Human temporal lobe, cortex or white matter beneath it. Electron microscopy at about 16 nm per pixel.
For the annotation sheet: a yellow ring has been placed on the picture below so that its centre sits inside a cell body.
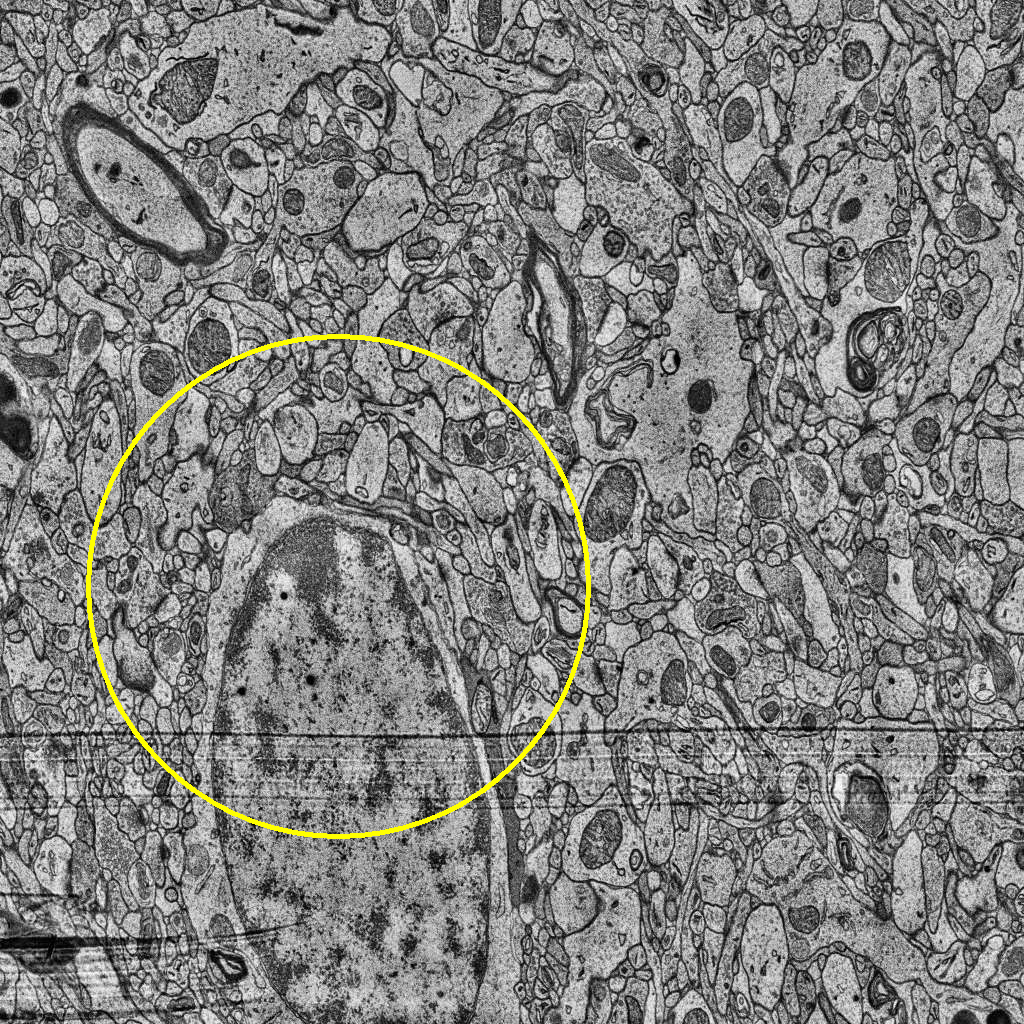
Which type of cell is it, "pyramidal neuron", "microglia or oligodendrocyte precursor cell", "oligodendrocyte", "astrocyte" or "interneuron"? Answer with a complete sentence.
The cell at the ring's centre is a microglial cell or oligodendrocyte precursor cell.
